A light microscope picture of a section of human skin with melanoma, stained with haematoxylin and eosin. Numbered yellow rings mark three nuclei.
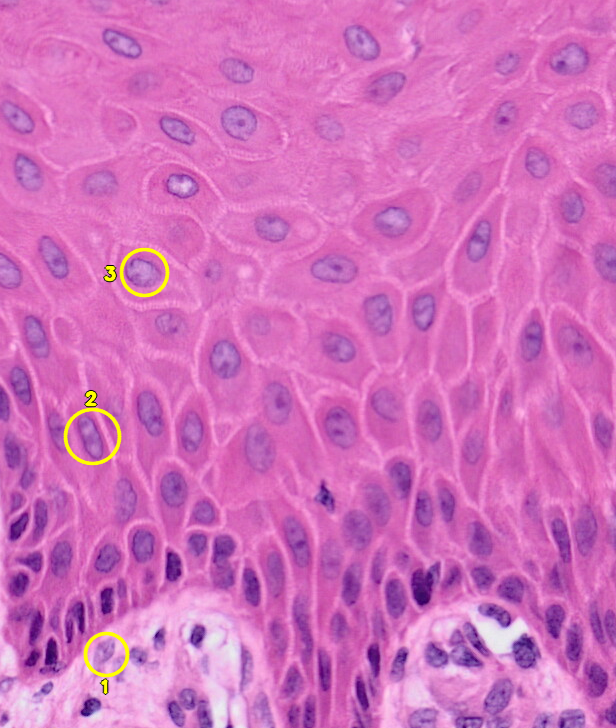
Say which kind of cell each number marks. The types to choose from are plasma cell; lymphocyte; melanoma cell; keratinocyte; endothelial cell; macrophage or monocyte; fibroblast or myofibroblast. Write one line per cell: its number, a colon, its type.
1: fibroblast or myofibroblast
2: keratinocyte
3: keratinocyte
